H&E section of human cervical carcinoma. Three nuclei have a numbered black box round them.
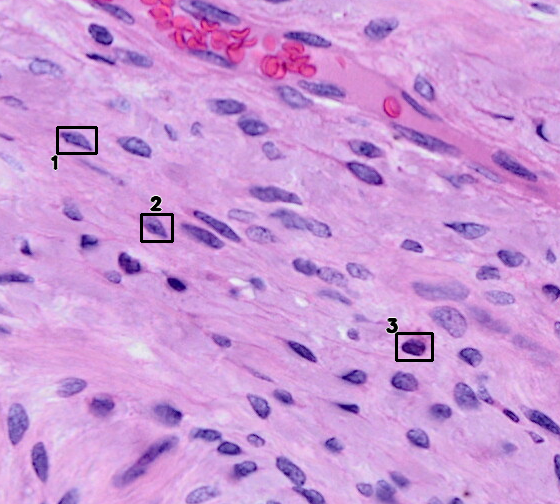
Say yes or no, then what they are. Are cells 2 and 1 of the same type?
Yes, as for cells 2 and 1, both are fibroblasts.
